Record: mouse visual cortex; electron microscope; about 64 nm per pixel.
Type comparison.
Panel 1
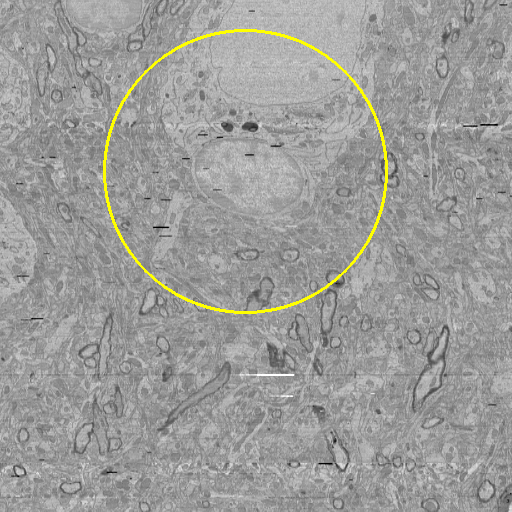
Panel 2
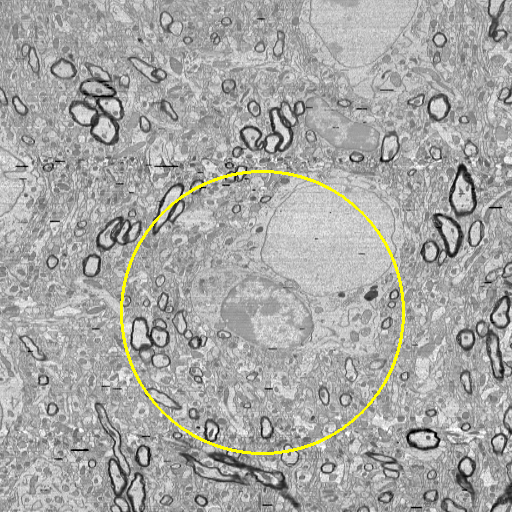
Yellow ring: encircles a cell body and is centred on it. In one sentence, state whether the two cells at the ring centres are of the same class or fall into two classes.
In these panels, the two cells at the ring centres are of the same class.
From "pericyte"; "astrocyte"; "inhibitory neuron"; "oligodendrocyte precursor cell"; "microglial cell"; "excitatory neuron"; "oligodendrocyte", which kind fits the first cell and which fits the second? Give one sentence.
In both pictures the ring is centred on an oligodendrocyte.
